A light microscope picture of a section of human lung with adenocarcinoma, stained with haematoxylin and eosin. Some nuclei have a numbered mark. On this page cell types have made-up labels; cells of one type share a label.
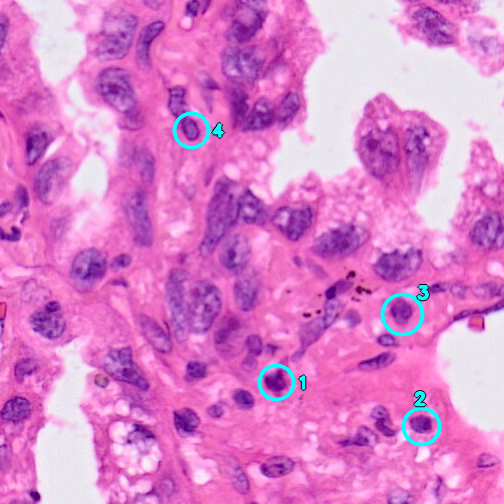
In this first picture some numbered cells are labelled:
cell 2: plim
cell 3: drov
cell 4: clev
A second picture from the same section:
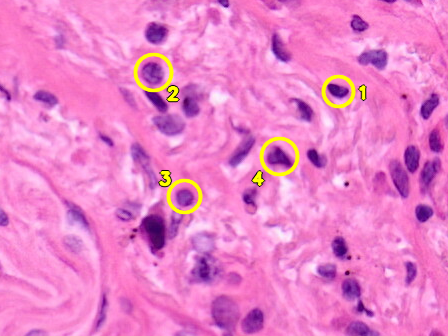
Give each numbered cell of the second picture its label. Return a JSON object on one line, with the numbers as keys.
{"1": "plim", "2": "clev", "3": "clev", "4": "drov"}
